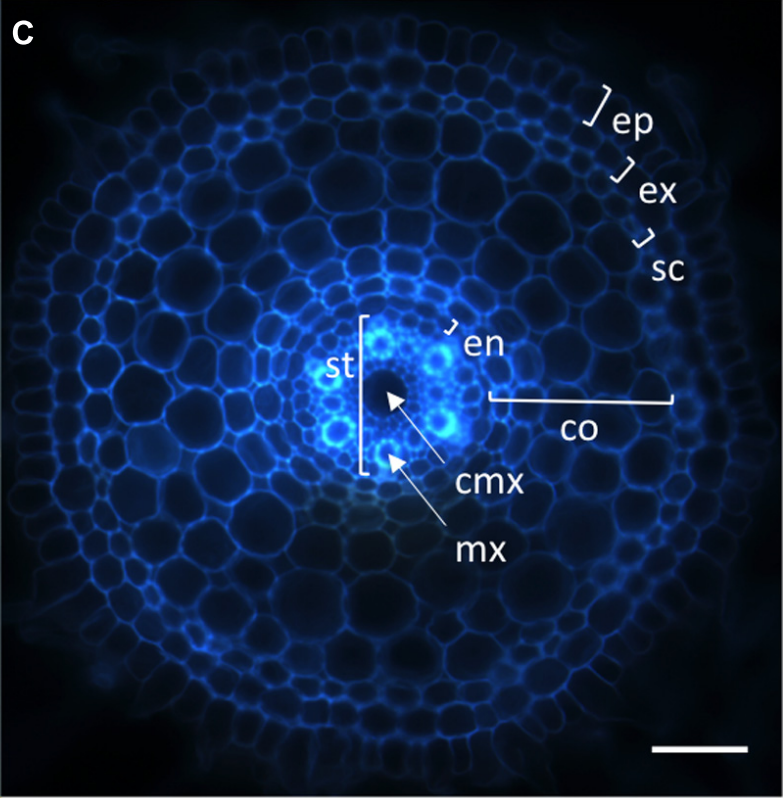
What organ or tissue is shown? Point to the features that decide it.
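A round cross-section built of concentric cylinders of cells. A central cylinder of small cells holds several large round vessels with bright walls. A broad zone of large rounded thin-walled cells surrounds the central cylinder. The answer: root.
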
